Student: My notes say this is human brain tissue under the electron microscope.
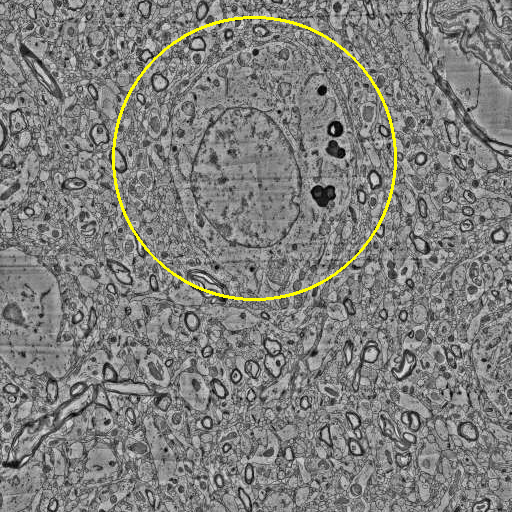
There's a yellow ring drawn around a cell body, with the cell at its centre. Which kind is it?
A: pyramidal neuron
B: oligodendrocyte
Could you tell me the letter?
A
